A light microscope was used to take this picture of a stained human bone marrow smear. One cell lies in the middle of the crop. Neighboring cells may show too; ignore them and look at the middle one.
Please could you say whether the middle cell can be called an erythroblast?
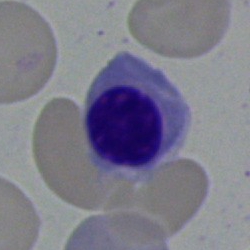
yes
